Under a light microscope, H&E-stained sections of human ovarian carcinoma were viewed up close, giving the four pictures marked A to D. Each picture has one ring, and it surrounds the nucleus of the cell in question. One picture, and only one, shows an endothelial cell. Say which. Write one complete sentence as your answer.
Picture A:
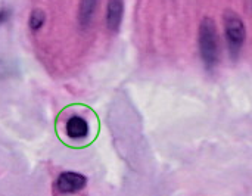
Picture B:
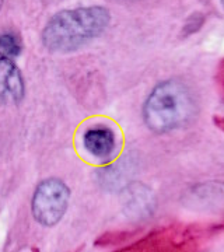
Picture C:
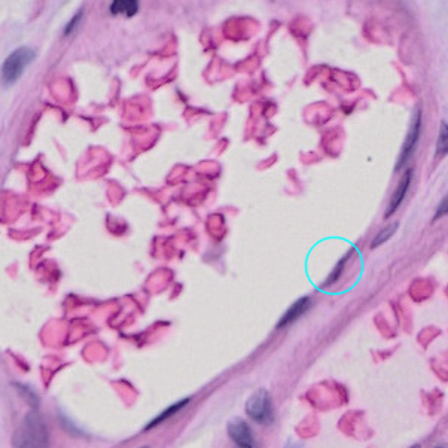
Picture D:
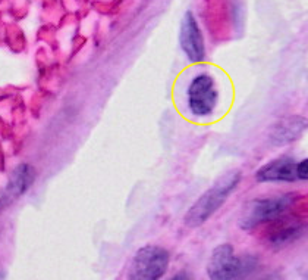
Picture C shows the endothelial cell.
